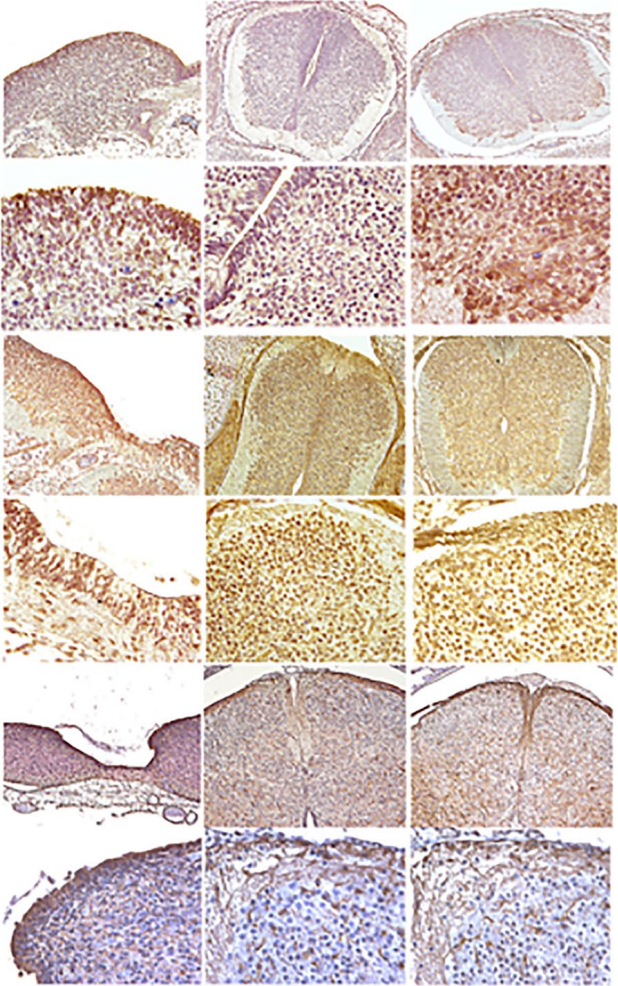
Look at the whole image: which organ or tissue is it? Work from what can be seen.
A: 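Several low-power sections show an oval cord with a narrow central canal in the midline. A dorsal midline cleft divides the section into two symmetric halves. A pale meningeal sheath surrounds the round sections.
Hence: spinal cord.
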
